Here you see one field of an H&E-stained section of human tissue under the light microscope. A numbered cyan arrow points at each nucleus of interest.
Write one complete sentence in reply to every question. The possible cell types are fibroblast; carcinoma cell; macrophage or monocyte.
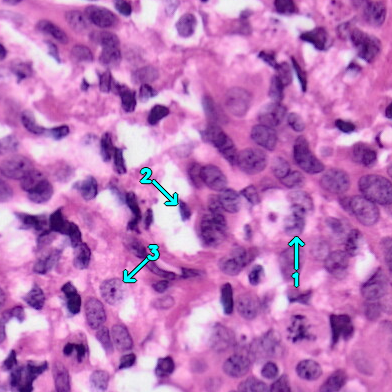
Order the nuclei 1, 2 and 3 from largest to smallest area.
Going from the biggest nucleus down to the smallest gives 3, 1, 2.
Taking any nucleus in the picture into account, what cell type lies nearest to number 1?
The nucleus nearest to number 1 is that of a macrophage or monocyte.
